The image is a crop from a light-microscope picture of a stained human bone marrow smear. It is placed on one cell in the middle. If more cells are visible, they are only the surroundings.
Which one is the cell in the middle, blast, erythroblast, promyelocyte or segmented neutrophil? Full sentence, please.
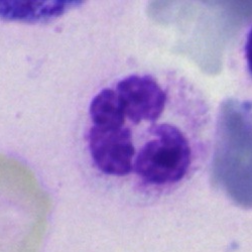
This crop's central cell is a segmented neutrophil.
